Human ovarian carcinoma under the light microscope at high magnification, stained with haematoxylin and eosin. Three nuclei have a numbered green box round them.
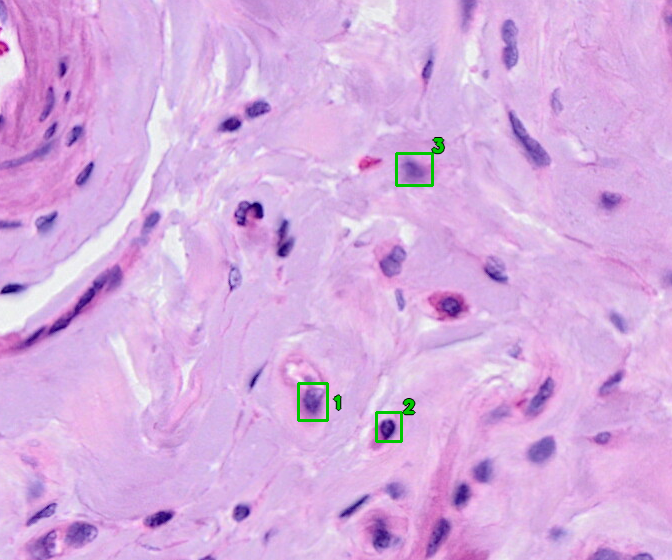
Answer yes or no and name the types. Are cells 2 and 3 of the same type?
No, that's off: cell 2 is a lymphocyte and cell 3 is a fibroblast.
